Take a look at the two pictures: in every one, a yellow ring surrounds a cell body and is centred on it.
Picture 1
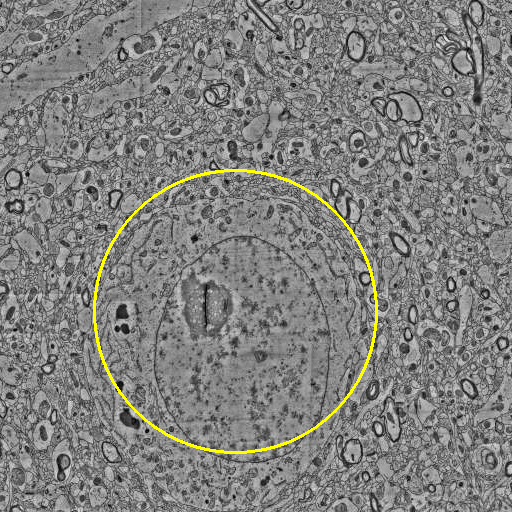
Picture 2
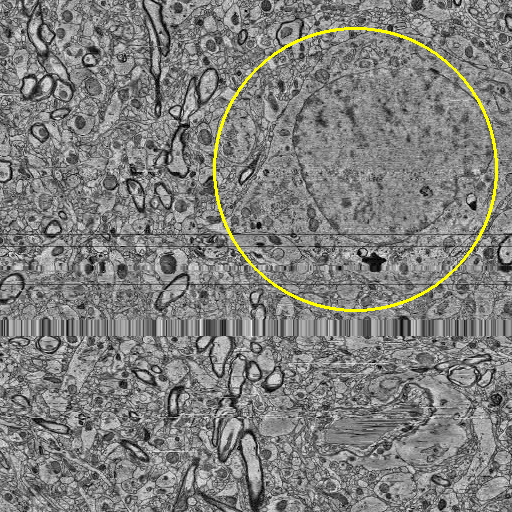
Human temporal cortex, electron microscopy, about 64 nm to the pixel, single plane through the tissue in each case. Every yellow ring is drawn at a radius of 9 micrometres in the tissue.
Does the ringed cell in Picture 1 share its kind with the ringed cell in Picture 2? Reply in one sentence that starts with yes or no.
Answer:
No, the two centred cells, one per picture, are of two kinds.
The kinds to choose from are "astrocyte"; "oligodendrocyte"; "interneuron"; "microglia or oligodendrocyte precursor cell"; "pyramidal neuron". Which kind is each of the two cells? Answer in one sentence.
Of the two, the first cell is a pyramidal neuron and the second cell is an interneuron.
